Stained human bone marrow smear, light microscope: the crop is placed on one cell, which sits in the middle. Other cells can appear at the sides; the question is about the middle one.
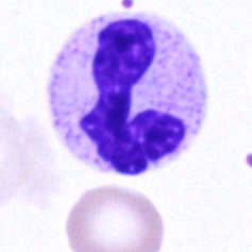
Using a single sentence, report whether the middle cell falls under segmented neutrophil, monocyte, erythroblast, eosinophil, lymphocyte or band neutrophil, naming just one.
Here the cell in the middle is a segmented neutrophil.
